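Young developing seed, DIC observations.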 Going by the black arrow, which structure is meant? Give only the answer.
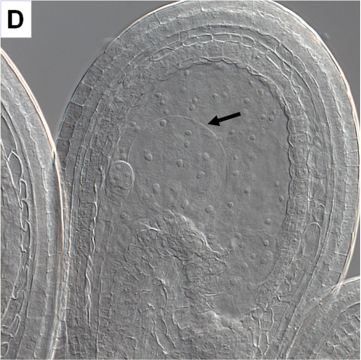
Boundaries between two separate compartments of endosperm.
